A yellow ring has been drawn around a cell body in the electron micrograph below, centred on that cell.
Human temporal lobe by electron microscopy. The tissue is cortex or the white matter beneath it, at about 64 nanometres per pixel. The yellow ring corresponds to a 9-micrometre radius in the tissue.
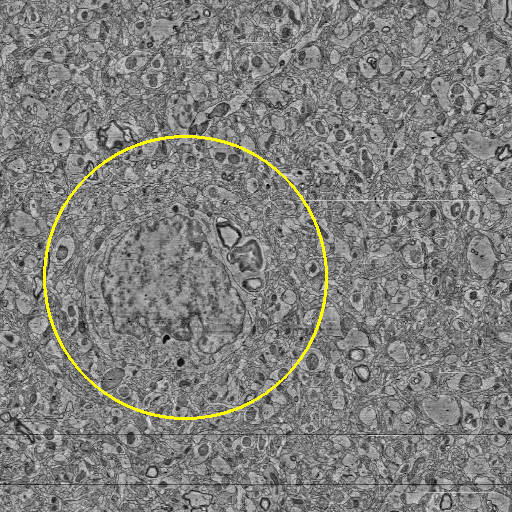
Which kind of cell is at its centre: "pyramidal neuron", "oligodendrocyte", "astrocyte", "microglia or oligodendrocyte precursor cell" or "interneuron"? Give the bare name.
interneuron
